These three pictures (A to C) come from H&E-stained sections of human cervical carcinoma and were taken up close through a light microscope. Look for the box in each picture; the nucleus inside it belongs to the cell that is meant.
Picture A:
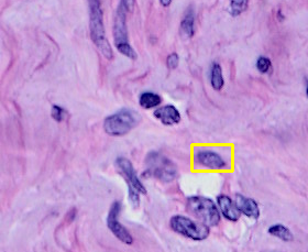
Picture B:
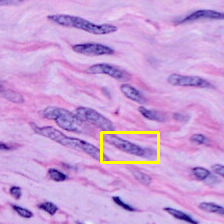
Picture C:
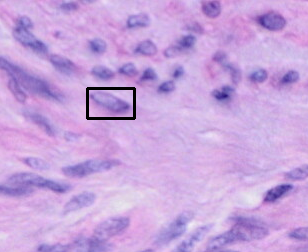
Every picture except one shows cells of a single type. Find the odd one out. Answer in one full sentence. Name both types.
All pictures except A show smooth muscle cells; picture A shows an endothelial cell.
